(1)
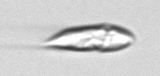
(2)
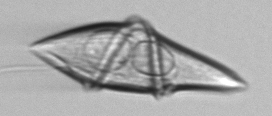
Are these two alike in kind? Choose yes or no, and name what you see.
Yes. Gyrodinium.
